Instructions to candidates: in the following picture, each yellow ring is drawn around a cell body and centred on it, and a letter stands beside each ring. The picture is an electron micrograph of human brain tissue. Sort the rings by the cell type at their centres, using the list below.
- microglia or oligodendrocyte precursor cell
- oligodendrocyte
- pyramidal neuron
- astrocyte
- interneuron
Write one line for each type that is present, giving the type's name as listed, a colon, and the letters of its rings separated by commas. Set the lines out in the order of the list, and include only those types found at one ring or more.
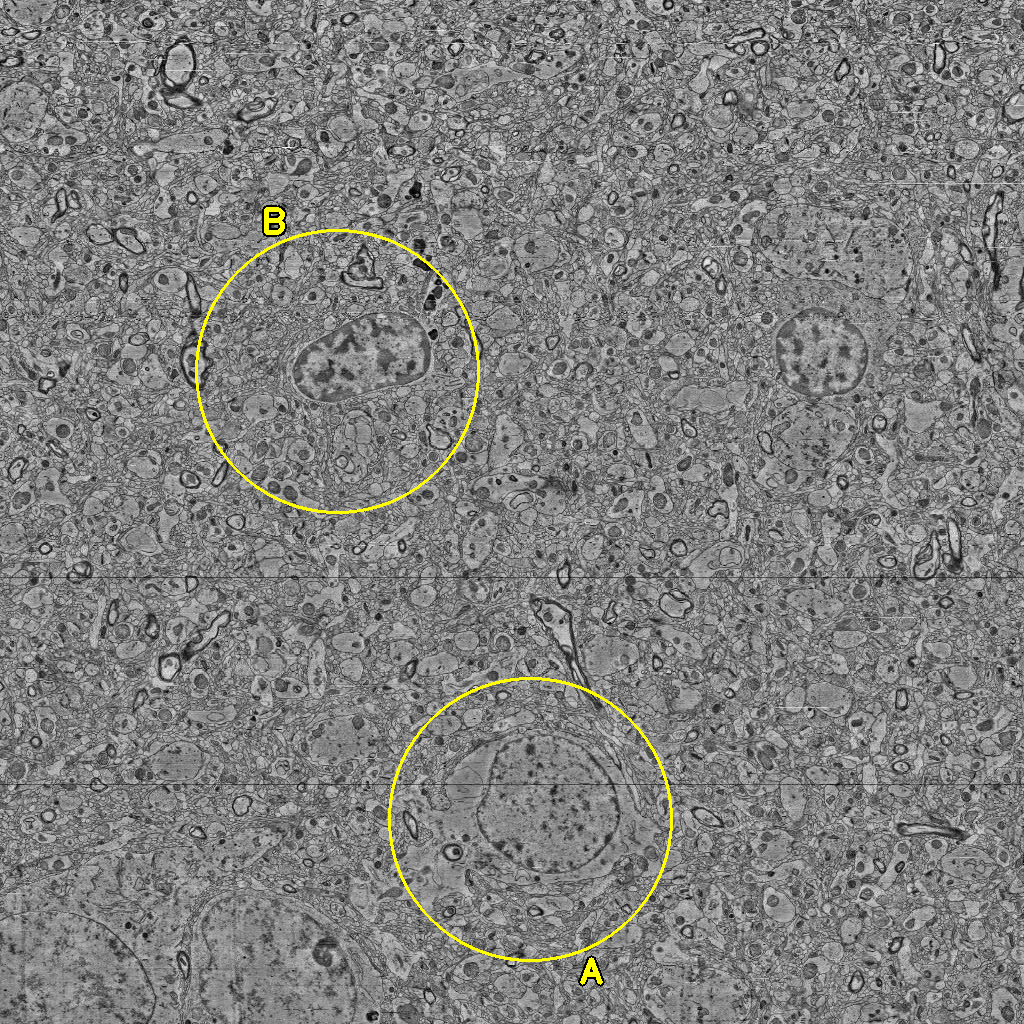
microglia or oligodendrocyte precursor cell: B
astrocyte: A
